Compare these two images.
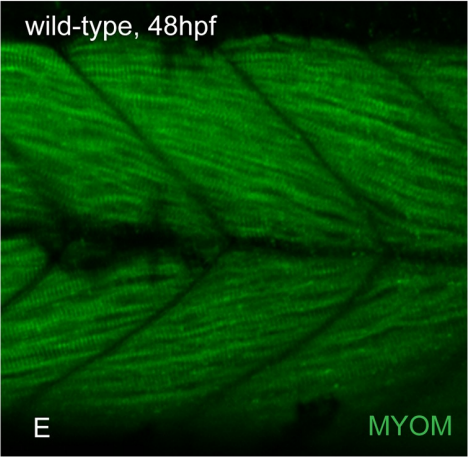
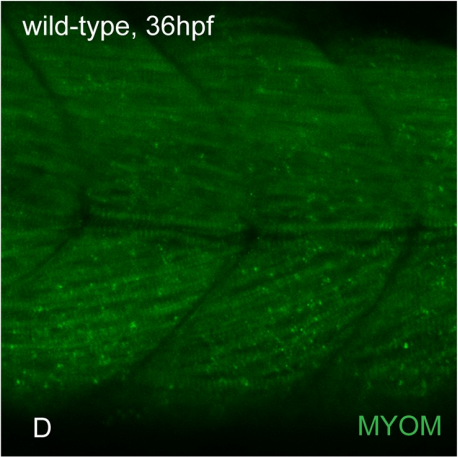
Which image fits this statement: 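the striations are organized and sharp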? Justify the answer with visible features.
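First image: bright, regular cross-banding clearly visible along the fibers. Second image: dimmer, diffuse signal with scattered puncta and only faint banding.
Answer: the first image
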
